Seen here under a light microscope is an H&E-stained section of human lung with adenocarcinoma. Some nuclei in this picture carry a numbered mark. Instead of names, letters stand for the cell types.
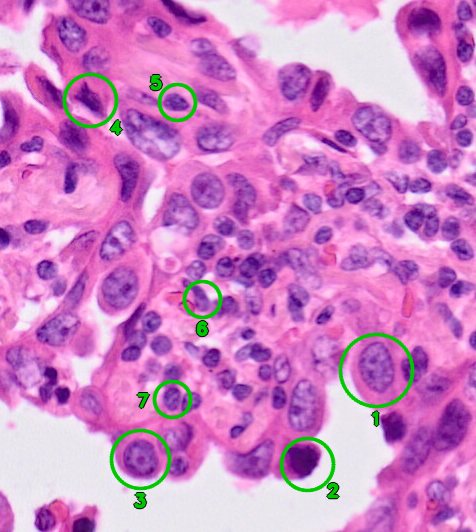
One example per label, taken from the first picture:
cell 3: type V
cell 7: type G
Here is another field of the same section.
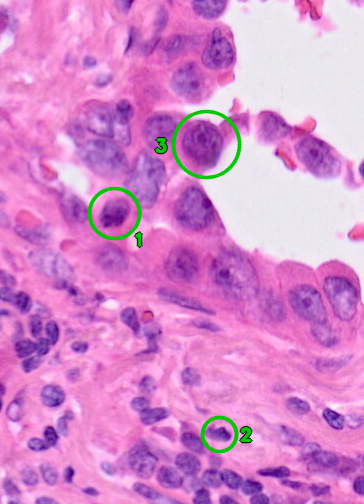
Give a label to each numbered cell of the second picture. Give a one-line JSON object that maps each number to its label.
{"1": "type V", "2": "type G", "3": "type V"}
